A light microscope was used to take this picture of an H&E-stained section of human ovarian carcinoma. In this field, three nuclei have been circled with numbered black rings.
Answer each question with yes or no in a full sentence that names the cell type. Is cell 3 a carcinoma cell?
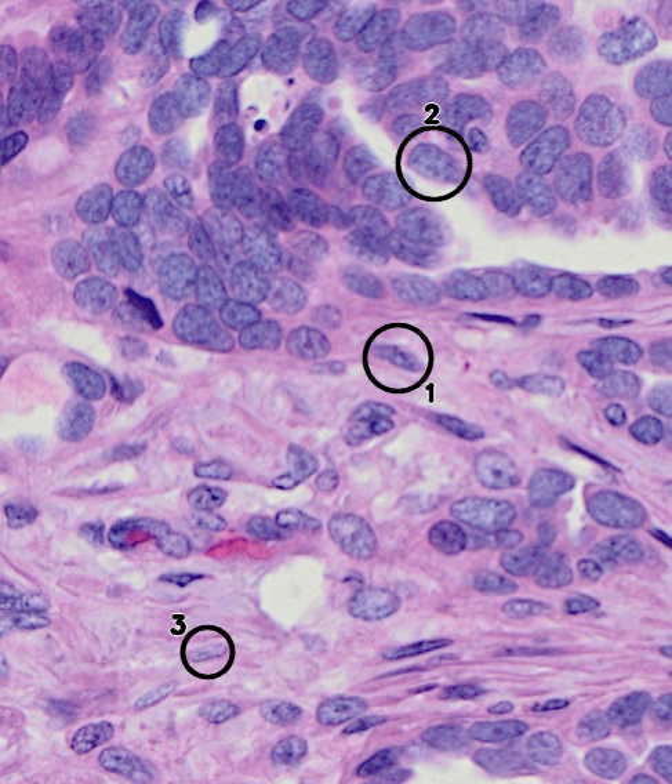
No, instead of a carcinoma cell, the cell with number 3 is a fibroblast.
